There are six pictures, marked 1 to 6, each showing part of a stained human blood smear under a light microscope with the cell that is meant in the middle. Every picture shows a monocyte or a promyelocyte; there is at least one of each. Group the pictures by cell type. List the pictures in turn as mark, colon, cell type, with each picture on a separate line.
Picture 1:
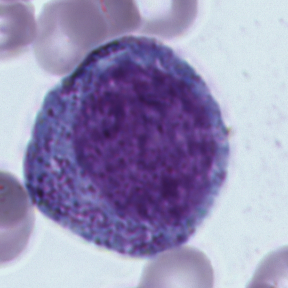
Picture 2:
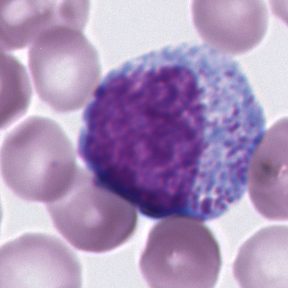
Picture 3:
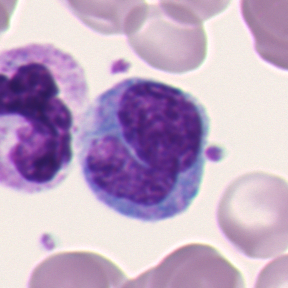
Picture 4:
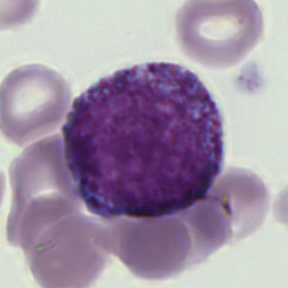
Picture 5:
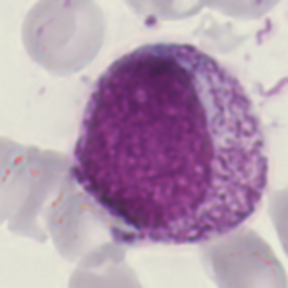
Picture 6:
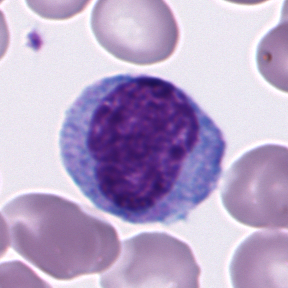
1: promyelocyte
2: promyelocyte
3: monocyte
4: promyelocyte
5: promyelocyte
6: monocyte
